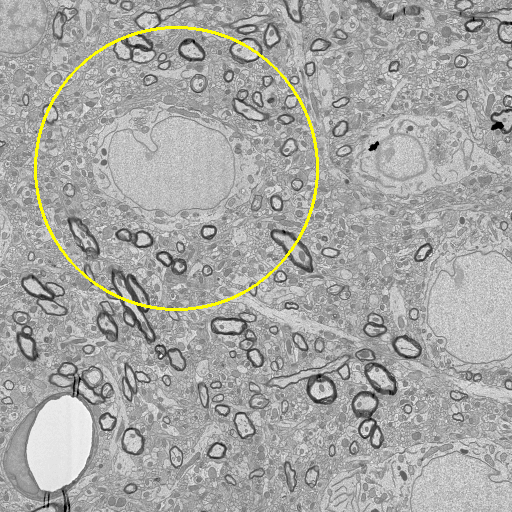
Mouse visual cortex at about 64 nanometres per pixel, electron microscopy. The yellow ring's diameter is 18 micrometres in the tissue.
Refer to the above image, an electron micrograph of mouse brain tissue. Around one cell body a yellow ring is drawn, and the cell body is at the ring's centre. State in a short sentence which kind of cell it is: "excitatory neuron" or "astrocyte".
The centre of the ring falls on an excitatory neuron.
